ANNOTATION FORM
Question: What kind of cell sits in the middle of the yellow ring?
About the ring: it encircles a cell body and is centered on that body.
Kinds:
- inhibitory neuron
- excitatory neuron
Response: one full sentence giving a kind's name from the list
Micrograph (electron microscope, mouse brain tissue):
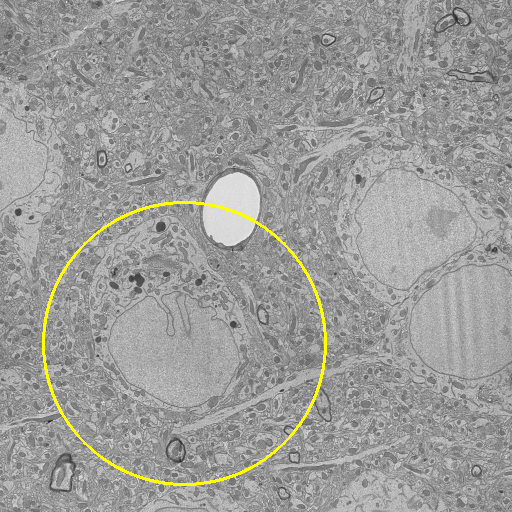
The kind of cell found at the center of the yellow ring in the micrograph is an inhibitory neuron.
